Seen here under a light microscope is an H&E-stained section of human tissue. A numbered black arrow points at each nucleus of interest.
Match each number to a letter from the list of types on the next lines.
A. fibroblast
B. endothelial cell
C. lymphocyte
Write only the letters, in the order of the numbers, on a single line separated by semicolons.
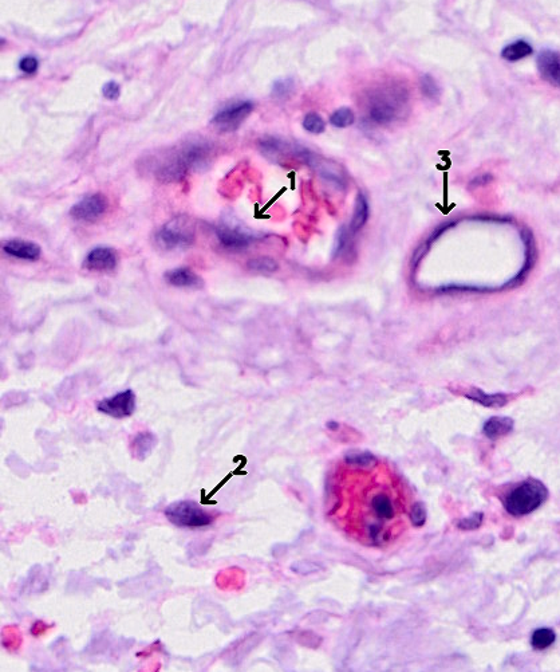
B; A; B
